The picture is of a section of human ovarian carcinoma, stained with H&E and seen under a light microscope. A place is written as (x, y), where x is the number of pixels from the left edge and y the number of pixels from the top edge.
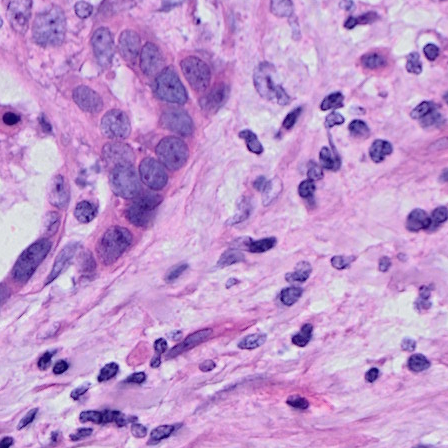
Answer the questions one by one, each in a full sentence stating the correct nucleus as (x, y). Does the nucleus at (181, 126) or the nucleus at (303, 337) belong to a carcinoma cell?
Located at (181, 126), this nucleus is the one belonging to a carcinoma cell.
